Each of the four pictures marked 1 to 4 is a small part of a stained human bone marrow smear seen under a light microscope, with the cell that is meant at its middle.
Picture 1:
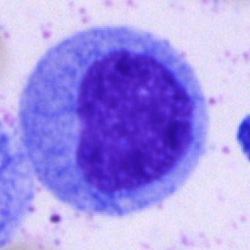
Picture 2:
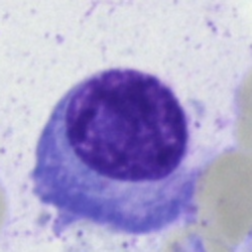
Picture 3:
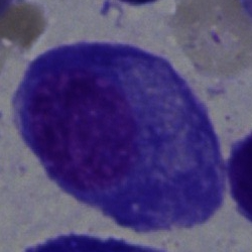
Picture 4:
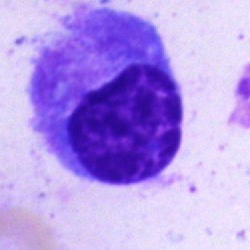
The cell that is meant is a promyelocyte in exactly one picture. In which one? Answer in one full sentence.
The promyelocyte is the one in picture 1.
